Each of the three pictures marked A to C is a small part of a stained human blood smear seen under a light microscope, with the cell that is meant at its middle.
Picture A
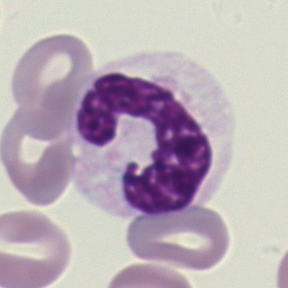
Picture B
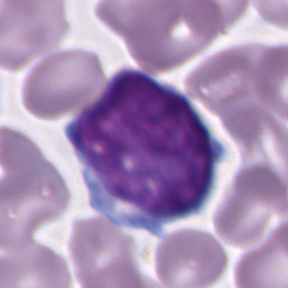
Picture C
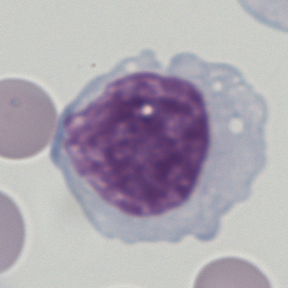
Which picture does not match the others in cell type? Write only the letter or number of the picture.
A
